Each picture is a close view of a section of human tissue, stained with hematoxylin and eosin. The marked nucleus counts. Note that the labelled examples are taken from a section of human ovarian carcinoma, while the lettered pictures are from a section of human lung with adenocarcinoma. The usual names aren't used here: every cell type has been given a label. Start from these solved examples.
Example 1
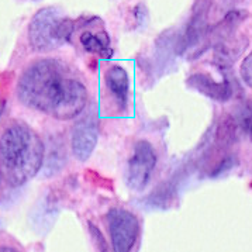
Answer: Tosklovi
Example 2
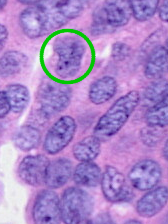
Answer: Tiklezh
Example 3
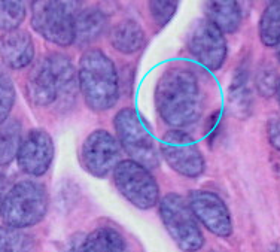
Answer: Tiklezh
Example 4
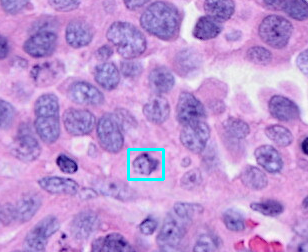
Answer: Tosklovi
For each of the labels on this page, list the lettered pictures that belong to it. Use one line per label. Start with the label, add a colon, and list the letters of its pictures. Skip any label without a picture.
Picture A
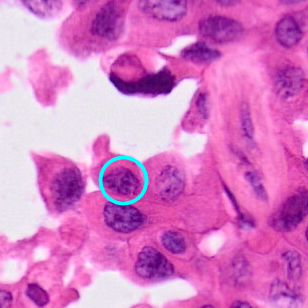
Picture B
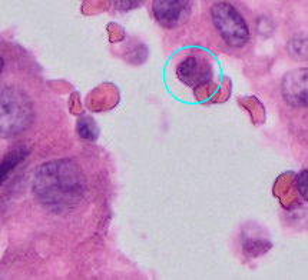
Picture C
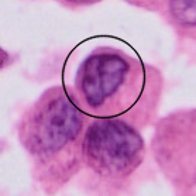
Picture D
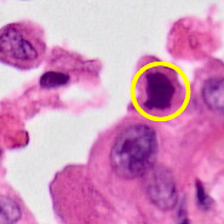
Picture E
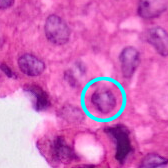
Tosklovi: B, E
Tiklezh: A, C, D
